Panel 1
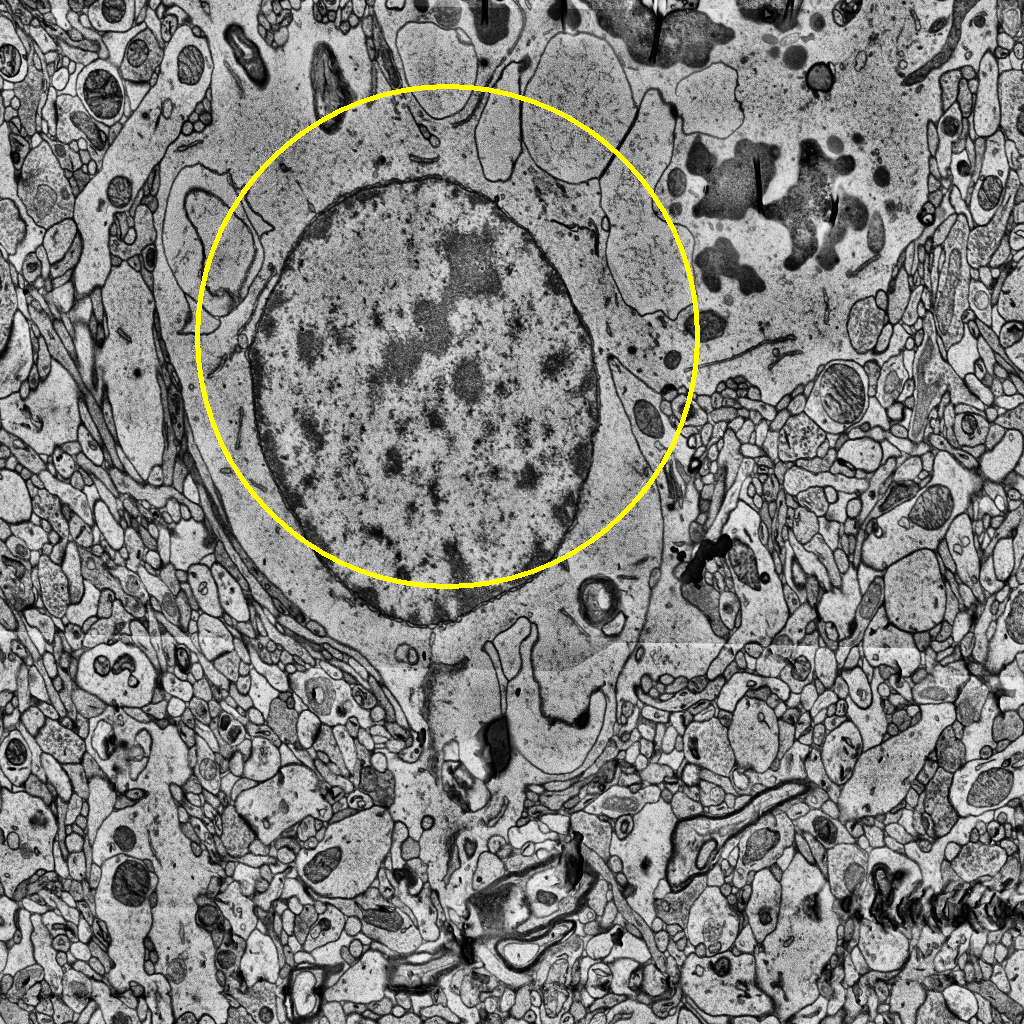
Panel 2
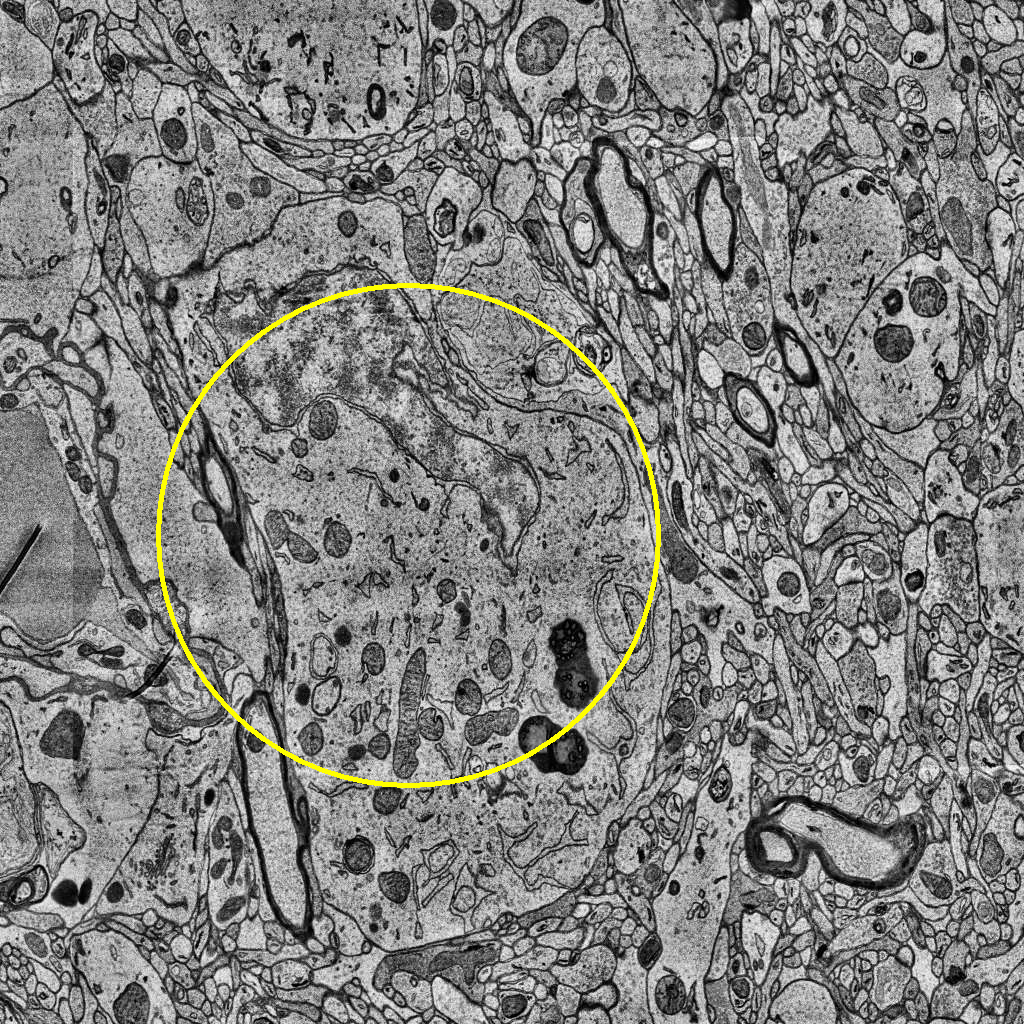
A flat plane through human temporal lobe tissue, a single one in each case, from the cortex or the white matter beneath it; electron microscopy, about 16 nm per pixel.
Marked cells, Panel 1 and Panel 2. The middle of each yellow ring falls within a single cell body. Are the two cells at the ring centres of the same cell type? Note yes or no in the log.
no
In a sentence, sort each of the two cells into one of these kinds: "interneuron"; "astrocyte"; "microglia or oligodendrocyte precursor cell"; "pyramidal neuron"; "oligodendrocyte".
The second cell is an interneuron, while the first is an astrocyte.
